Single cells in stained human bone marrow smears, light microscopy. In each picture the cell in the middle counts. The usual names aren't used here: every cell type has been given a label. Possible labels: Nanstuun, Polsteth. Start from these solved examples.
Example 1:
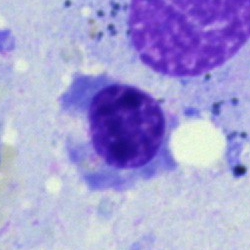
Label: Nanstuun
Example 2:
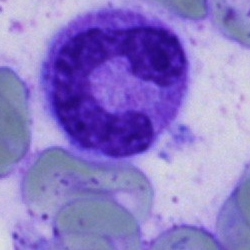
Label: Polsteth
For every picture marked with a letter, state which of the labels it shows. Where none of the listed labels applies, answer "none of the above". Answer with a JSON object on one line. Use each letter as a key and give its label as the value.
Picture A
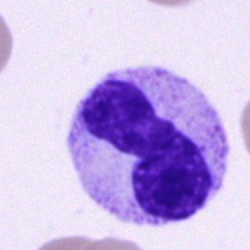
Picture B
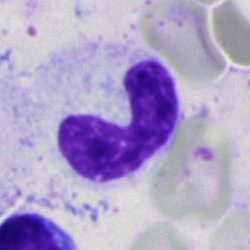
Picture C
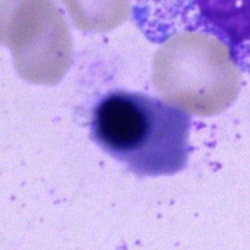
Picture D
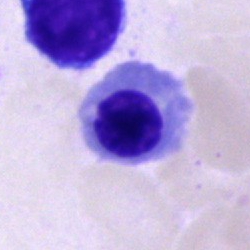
{"A": "Polsteth", "B": "Polsteth", "C": "Nanstuun", "D": "Nanstuun"}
